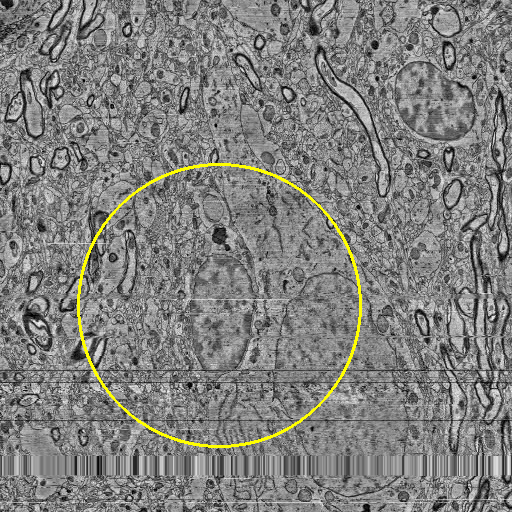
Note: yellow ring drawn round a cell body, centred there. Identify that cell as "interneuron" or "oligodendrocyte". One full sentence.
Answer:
The cell in the middle of the ring is an oligodendrocyte.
